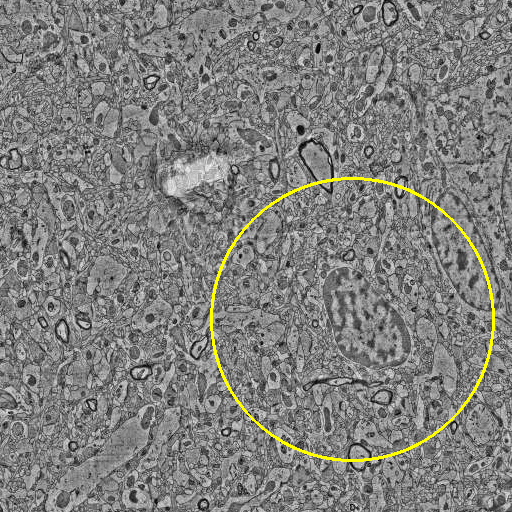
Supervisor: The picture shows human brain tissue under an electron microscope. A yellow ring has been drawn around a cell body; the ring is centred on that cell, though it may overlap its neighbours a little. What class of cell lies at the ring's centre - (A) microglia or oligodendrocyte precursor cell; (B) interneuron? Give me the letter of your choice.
A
